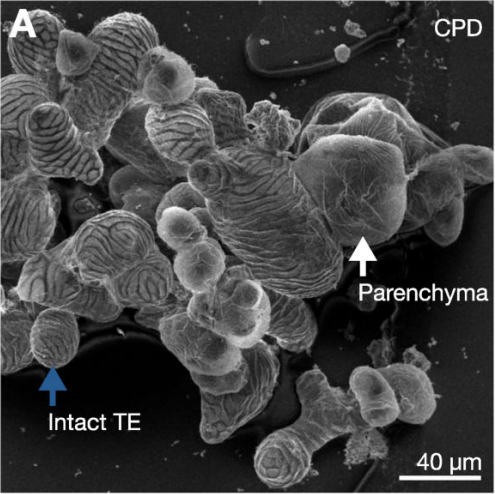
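A cluster of isolated plant cells of two kinds, all standing out plump and rounded. Many smaller oval to elongated cells carry raised wall bands running across or netting over their surface; larger cells with smooth, thin, slightly wrinkled walls lie among them.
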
